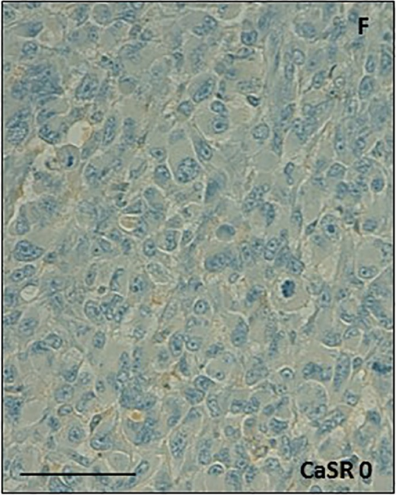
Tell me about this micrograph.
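This is a solid sheet of tumor cells, packed closely together without glands, layers or other recognisable tissue structure. The cells are polygonal with moderate amounts of pale, greyish cytoplasm and fairly distinct borders. Their nuclei are large, round to oval and blue from the counterstain, and they vary noticeably in size and shape from cell to cell, several showing a visible nucleolus. Brown staining is essentially absent across the field, with at most a faint tint here and there in scattered cells, so the cells appear almost entirely in the blue of the counterstain.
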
